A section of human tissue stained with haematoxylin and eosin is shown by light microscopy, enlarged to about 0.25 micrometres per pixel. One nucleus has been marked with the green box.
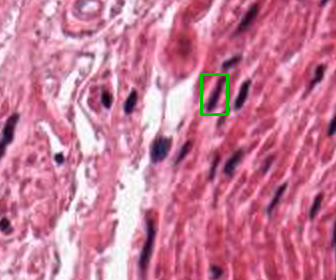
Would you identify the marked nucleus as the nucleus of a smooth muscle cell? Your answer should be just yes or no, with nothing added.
yes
